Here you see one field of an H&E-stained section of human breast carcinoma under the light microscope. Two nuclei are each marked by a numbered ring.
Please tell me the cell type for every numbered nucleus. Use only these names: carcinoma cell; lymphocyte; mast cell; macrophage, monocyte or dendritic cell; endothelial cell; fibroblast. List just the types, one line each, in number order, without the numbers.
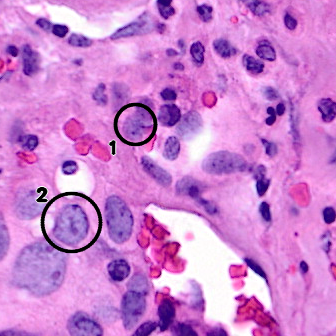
endothelial cell
carcinoma cell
